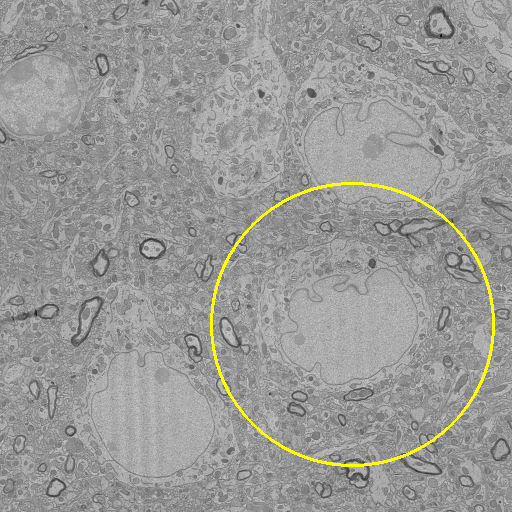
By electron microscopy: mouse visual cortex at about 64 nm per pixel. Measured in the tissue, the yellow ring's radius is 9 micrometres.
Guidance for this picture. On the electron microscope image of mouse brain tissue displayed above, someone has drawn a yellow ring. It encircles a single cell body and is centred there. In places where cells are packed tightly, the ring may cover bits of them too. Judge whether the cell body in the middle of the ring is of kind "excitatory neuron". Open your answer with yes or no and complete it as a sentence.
Yes, that kind matches the cell whose body lies at the ring's centre in the image above.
